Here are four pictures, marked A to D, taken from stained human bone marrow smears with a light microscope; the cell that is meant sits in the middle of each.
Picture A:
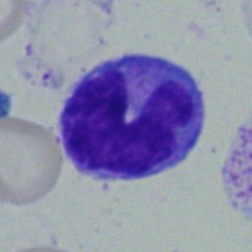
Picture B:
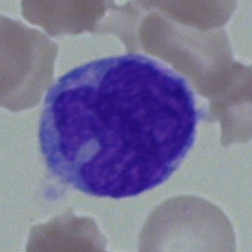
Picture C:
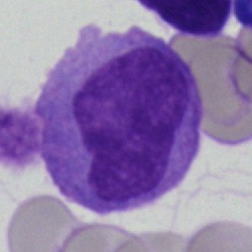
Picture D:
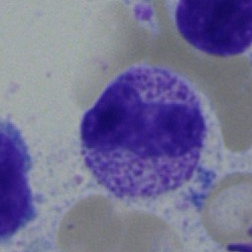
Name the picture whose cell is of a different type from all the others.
D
